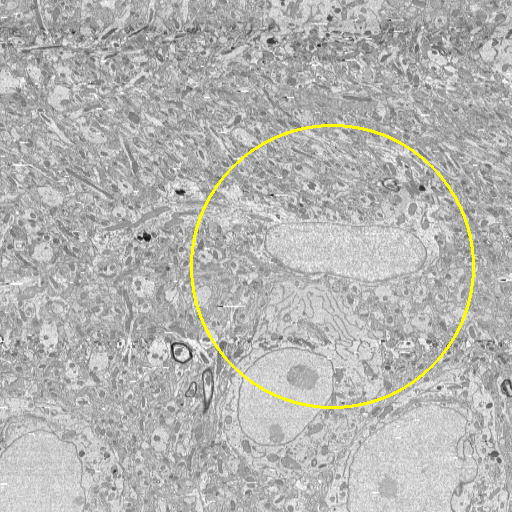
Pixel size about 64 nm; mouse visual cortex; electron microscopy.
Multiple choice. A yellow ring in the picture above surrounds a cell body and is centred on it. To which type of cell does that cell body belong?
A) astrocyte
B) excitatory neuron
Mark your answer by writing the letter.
A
